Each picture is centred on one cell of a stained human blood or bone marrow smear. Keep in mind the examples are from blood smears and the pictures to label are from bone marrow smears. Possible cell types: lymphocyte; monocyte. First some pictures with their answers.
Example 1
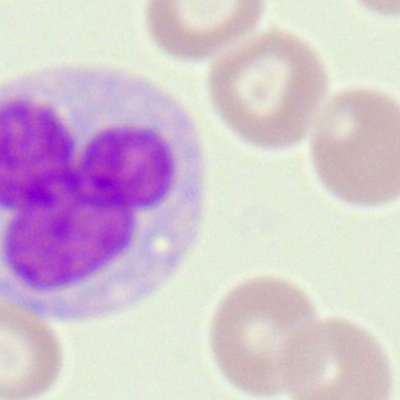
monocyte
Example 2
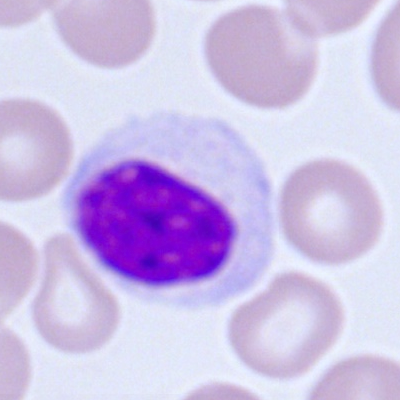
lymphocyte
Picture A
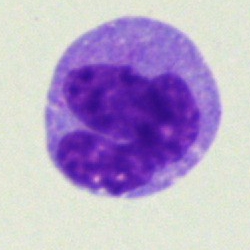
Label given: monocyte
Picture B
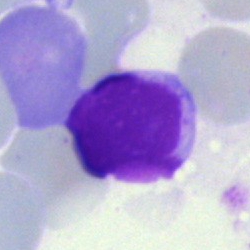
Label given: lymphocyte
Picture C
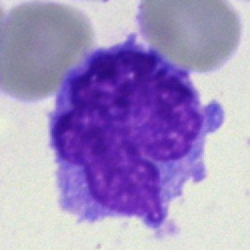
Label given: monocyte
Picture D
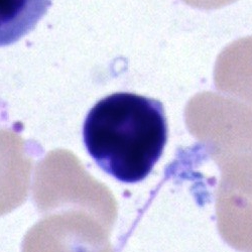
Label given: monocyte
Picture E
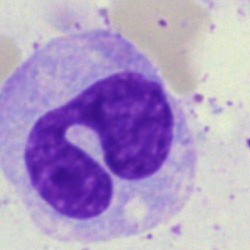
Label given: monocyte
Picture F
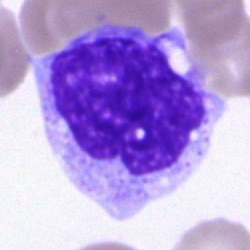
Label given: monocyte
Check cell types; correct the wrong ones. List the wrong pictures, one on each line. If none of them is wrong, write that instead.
D: change monocyte to lymphocyte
